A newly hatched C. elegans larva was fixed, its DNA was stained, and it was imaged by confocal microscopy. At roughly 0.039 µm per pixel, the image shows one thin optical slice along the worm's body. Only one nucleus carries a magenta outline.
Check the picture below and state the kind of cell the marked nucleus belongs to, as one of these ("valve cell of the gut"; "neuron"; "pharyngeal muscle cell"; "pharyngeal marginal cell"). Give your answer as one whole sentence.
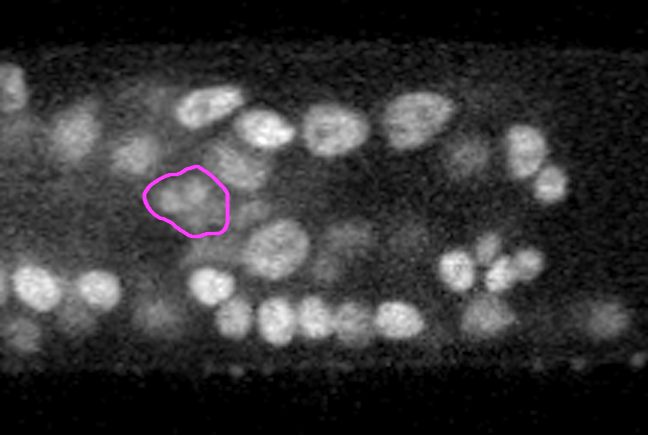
It belongs to a pharyngeal marginal cell.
